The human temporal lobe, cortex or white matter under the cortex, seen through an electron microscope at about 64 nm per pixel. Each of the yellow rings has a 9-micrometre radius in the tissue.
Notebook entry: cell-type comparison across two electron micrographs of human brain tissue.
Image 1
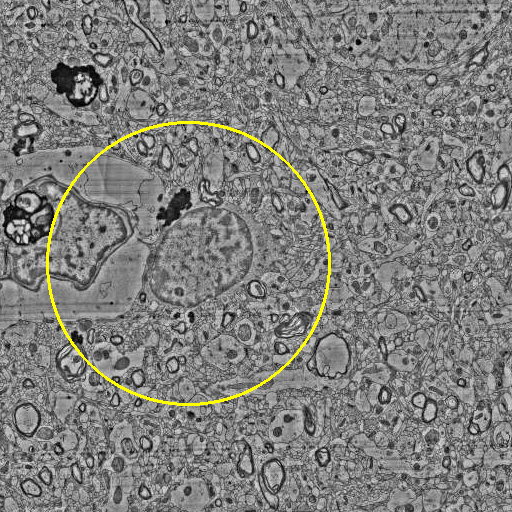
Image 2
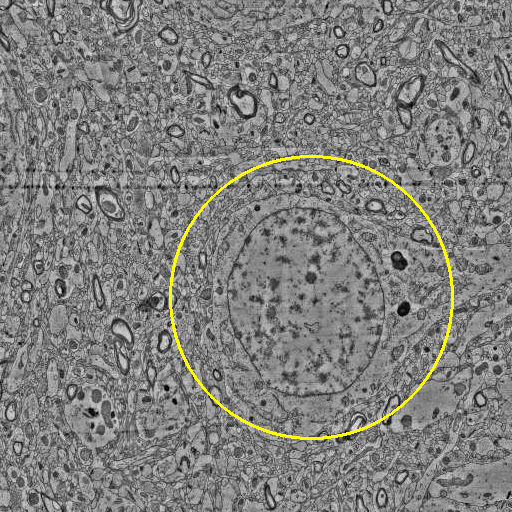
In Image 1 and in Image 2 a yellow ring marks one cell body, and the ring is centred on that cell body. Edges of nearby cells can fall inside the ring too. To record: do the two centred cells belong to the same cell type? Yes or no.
no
